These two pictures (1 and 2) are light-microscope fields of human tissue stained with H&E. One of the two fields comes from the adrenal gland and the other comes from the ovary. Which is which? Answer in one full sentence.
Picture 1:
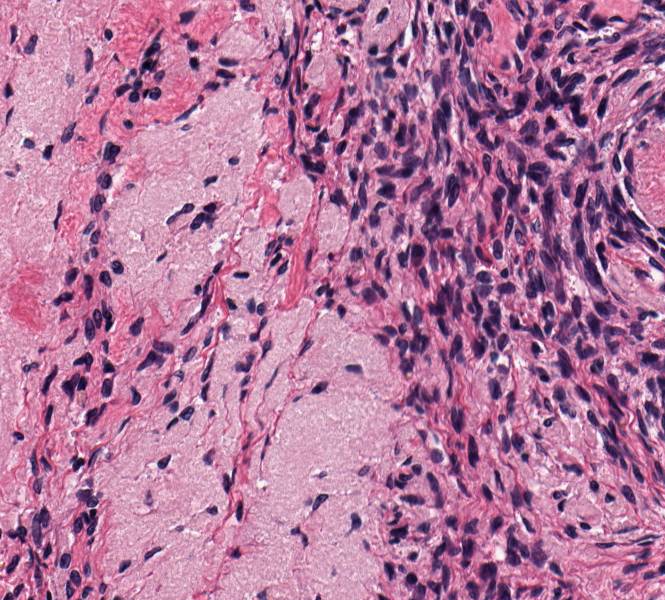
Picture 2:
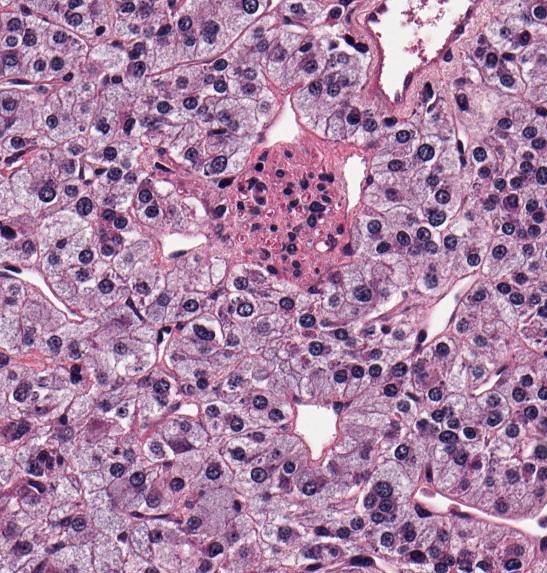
It is picture 1 that comes from the ovary, and picture 2 that comes from the adrenal gland.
